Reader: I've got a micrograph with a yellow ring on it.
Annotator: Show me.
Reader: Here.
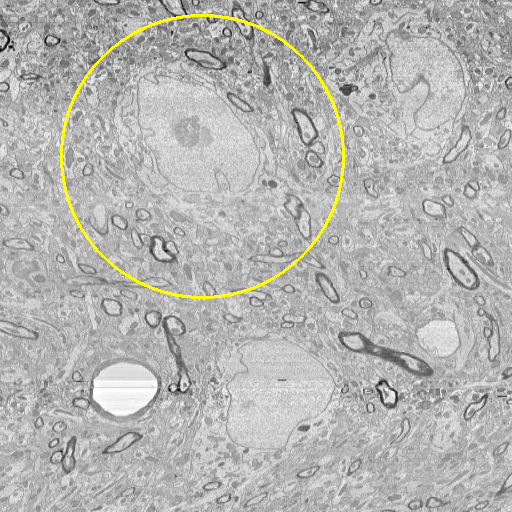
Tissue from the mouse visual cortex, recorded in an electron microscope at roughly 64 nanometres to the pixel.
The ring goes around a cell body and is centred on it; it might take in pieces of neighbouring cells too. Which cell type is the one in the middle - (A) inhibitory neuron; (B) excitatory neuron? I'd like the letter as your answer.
A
